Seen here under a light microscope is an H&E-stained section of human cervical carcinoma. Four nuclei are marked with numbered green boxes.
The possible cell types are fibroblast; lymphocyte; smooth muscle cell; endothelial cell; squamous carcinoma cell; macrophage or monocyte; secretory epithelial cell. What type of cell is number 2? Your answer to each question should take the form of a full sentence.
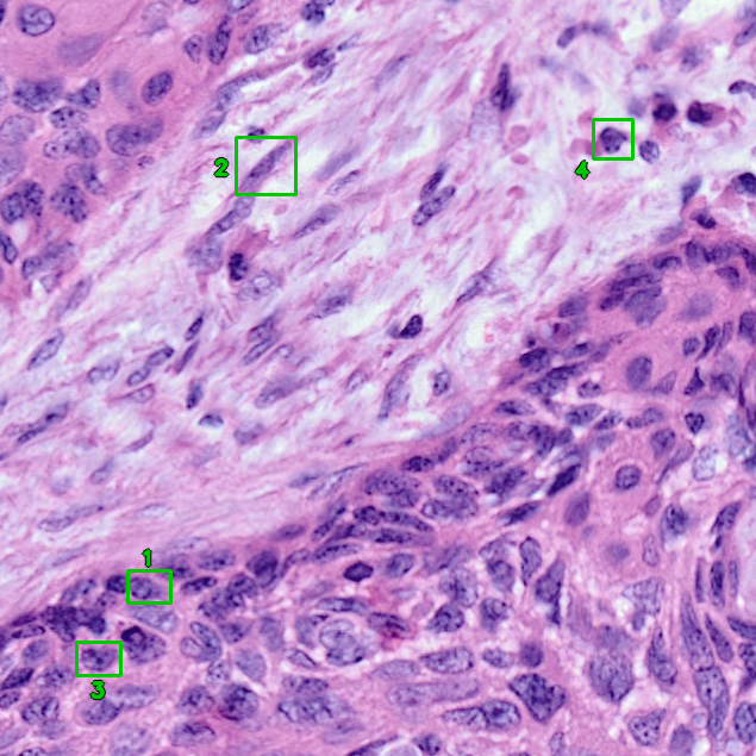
The marked nucleus 2 is that of a fibroblast.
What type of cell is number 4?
The cell that is numbered 4 is a lymphocyte.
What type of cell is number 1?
The cell pointed out as number 1 is a squamous carcinoma cell.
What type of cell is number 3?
Identified as a squamous carcinoma cell is the cell bearing the number 3.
